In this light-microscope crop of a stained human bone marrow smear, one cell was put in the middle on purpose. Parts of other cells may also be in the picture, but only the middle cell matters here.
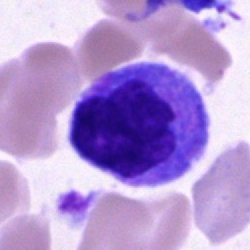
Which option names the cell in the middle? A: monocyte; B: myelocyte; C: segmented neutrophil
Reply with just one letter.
A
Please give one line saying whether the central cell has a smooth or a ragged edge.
Smooth all around, the outline has no projections to report.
